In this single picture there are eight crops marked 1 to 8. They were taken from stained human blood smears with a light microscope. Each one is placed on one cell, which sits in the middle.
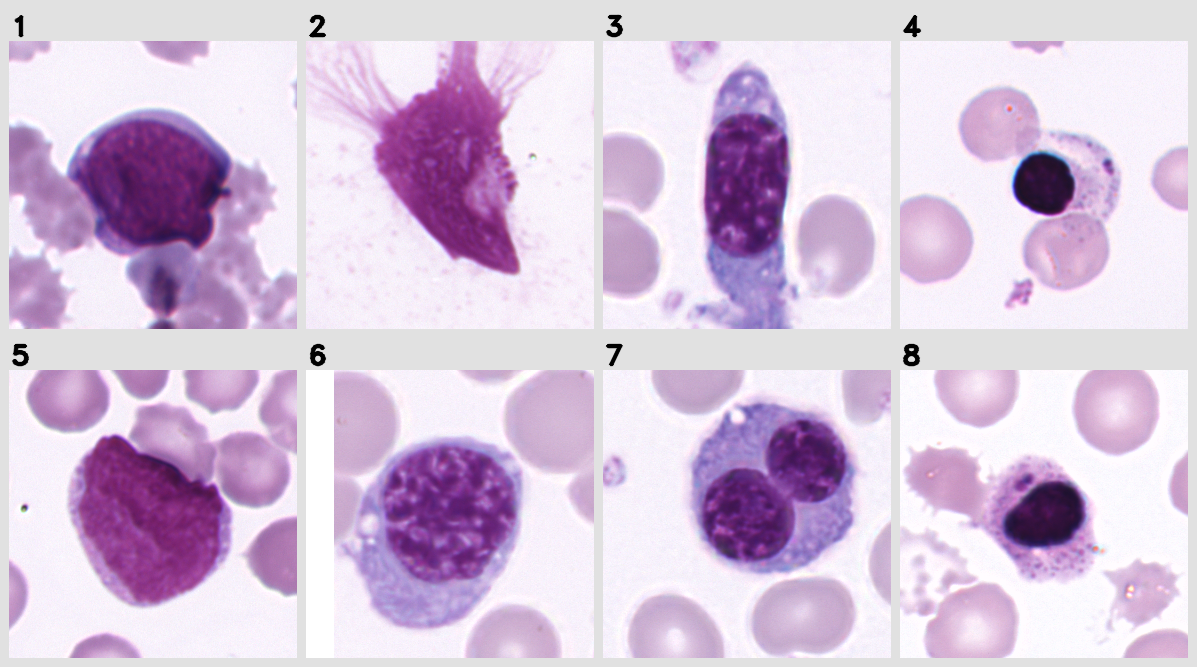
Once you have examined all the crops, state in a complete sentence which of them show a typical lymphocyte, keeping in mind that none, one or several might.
No crop shows a typical lymphocyte as its central cell.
